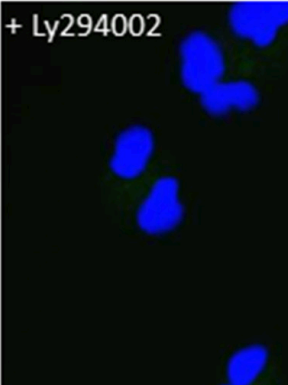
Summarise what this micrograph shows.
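The nuclei are lobed, most with two rounded lobes lying close together, some with the lobes seen at an angle or overlapping. Around the nuclei there is only a faint, scarcely visible green haze; the speckled green cytoplasm seen in strongly labelled cells is almost absent, so the cell borders are hard to make out. The cells lie singly or in loose pairs, well apart from one another.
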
